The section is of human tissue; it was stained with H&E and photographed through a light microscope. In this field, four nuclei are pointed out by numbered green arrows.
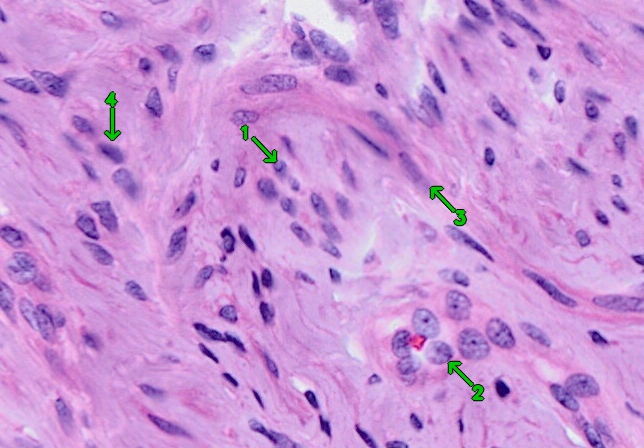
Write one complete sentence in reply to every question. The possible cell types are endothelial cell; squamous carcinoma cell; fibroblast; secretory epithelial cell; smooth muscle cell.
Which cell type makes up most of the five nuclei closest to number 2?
Endothelial cells make up most of the five nuclei closest to number 2.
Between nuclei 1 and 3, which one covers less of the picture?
It is nucleus 1; nucleus 3 has about 3 times its area.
